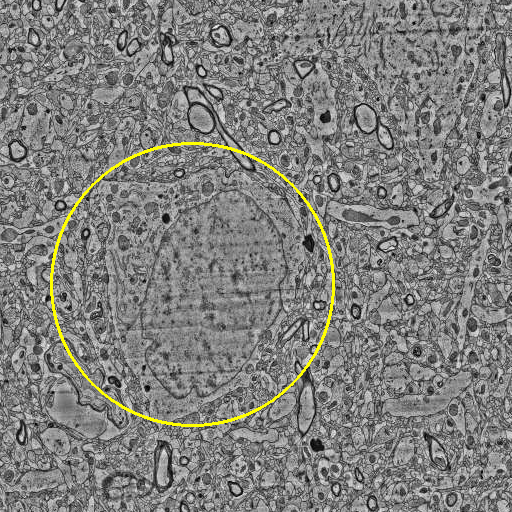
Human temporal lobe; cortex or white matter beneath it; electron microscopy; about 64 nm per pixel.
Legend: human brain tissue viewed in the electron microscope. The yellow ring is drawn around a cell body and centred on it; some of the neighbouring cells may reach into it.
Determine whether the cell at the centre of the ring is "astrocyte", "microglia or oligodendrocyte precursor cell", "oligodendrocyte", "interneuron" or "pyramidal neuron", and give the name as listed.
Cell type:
interneuron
